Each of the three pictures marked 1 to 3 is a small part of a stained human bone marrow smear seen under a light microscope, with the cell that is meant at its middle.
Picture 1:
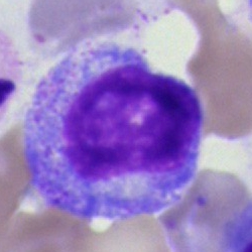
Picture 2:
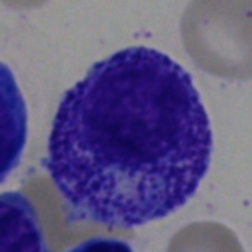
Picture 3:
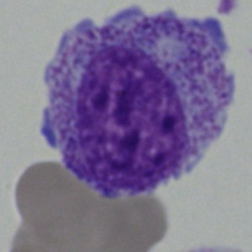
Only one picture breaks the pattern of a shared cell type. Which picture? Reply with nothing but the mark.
1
